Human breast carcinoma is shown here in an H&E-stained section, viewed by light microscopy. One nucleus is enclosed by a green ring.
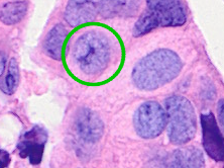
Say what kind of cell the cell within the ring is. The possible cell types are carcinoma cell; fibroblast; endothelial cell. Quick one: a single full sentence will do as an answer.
In cell-type terms, the cell within the ring is a carcinoma cell.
